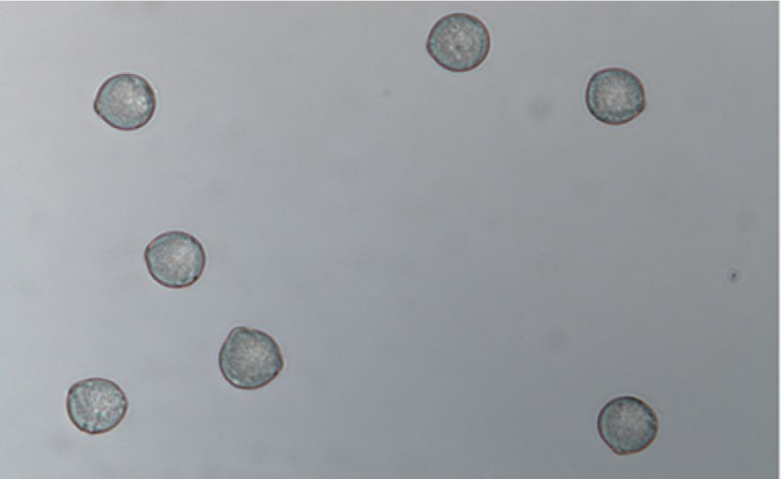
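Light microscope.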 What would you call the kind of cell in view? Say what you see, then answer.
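Separate, regular grains of similar size with a distinct thin wall. Grains lie singly on a clear background without surrounding tissue. The answer: mature pollen.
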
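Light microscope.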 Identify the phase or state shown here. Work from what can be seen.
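The grains are round, almost spherical. No furrows are seen folded into the wall. The contents look granular and fill the grain evenly.
Hence: imbibed.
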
